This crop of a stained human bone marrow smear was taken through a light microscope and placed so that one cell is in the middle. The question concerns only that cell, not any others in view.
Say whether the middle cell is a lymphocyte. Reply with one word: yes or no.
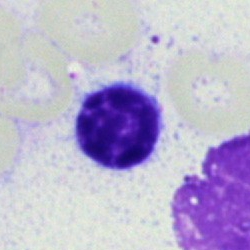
yes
